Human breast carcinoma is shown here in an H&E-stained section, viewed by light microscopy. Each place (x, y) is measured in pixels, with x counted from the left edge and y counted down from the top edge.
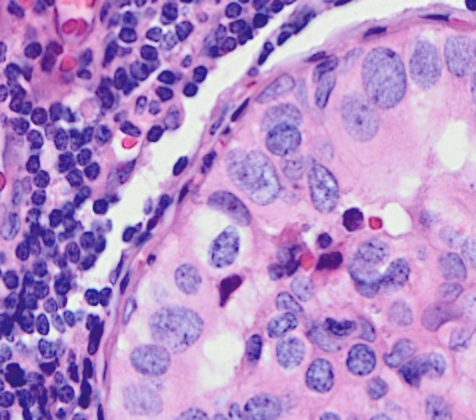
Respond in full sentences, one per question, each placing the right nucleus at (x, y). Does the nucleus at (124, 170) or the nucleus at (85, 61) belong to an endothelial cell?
That would be the nucleus at (124, 170); it belongs to an endothelial cell.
